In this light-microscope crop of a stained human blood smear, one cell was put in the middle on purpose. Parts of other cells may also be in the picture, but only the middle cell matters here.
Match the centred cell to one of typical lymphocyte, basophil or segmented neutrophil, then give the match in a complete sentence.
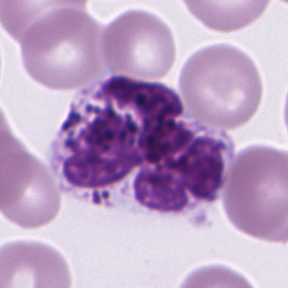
This particular crop is centered on a basophil.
